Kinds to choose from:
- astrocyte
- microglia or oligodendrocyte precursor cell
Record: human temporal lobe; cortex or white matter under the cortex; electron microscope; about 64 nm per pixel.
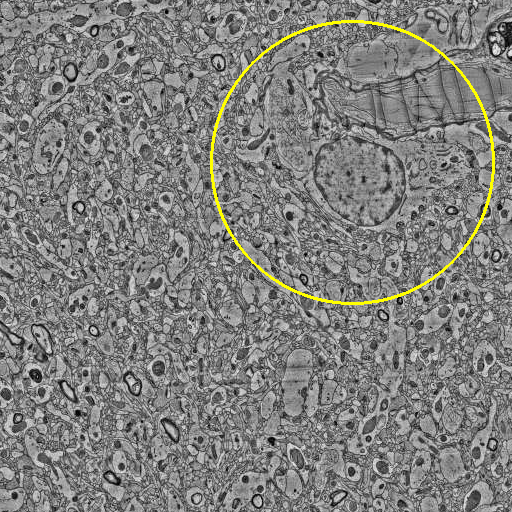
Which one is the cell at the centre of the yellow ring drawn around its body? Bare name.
microglia or oligodendrocyte precursor cell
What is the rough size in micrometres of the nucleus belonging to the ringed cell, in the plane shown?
In this plane the ringed cell's nucleus is roughly 6 micrometres across.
